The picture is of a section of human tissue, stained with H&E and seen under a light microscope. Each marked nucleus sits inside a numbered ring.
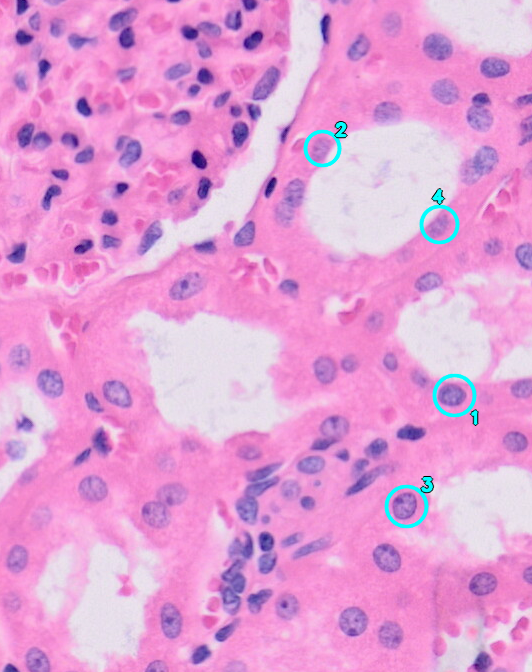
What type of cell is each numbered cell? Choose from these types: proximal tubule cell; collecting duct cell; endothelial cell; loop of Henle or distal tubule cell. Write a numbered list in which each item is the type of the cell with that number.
1. loop of Henle or distal tubule cell
2. loop of Henle or distal tubule cell
3. proximal tubule cell
4. loop of Henle or distal tubule cell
